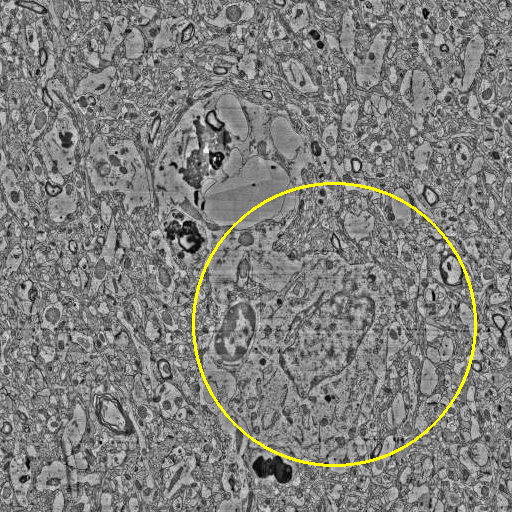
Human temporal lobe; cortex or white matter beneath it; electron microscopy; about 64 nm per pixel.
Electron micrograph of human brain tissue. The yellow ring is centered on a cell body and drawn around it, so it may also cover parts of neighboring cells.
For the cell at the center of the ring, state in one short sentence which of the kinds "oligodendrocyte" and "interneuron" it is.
This ring is centered on an interneuron.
